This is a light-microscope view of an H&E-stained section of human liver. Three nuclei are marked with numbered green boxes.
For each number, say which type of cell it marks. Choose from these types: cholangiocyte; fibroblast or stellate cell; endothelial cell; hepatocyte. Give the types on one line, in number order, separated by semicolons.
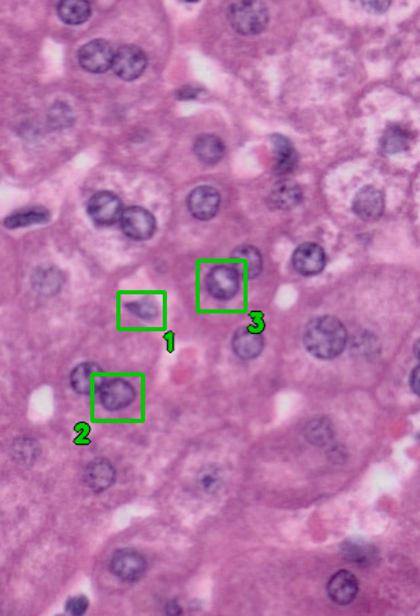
endothelial cell; hepatocyte; hepatocyte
